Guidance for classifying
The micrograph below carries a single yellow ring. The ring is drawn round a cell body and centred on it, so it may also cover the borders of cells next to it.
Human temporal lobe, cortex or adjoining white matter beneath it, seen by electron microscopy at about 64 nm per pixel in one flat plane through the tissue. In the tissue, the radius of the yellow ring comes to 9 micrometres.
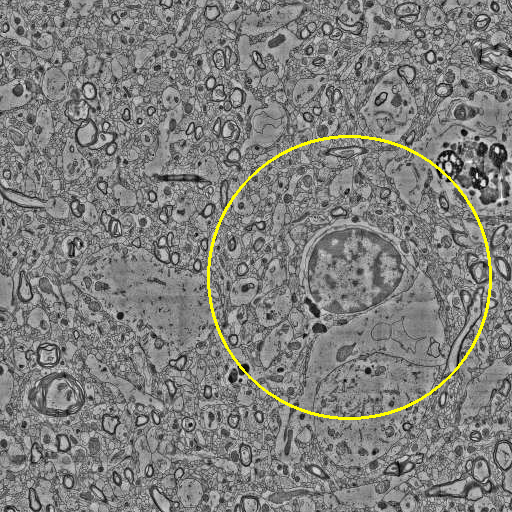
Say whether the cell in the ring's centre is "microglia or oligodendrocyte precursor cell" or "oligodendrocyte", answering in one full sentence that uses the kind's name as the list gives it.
Within the yellow ring, a microglial cell or oligodendrocyte precursor cell is the cell whose body sits at the centre.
